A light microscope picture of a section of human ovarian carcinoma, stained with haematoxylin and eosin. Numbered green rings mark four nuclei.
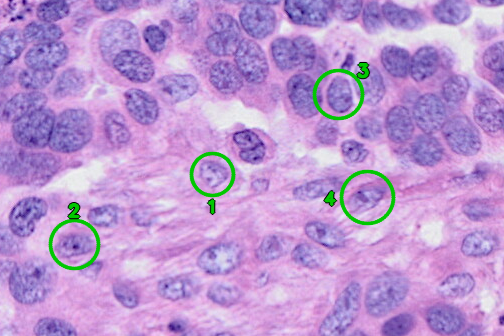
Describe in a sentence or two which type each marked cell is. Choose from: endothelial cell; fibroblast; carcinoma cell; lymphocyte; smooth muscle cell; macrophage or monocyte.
Cell 1 is a fibroblast, cell 2 is a fibroblast, cell 3 is a carcinoma cell and cell 4 is a fibroblast.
